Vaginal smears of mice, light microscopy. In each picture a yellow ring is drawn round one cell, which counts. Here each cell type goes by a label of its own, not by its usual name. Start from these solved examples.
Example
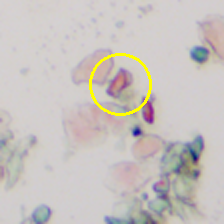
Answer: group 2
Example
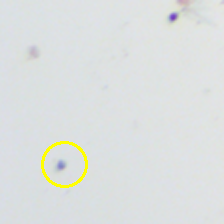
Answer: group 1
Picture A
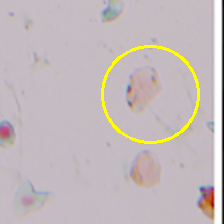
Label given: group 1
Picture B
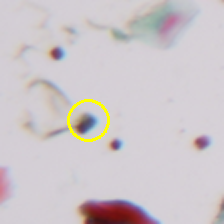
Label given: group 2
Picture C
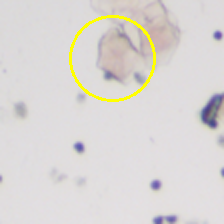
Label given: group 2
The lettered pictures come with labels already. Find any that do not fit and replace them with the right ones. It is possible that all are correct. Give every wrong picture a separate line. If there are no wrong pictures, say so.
A: not group 1 but group 2
B: not group 2 but group 1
